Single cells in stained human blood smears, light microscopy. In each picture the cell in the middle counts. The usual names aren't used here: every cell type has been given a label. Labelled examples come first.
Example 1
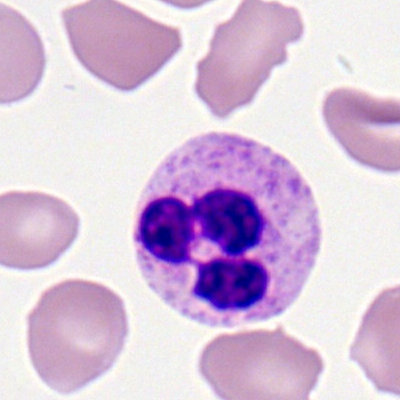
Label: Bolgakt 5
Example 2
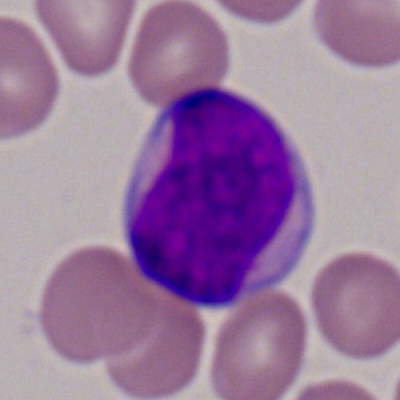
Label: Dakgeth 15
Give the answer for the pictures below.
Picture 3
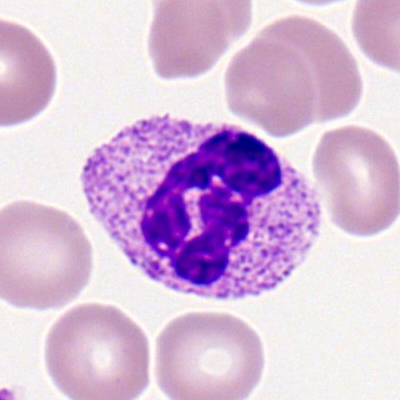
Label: Bolgakt 5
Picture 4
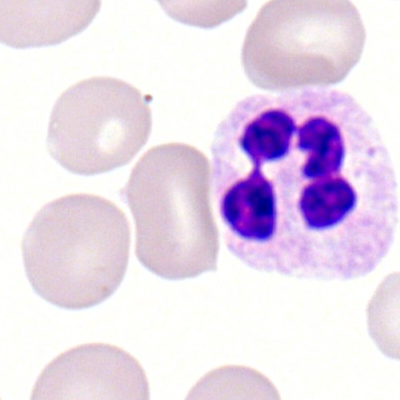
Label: Bolgakt 5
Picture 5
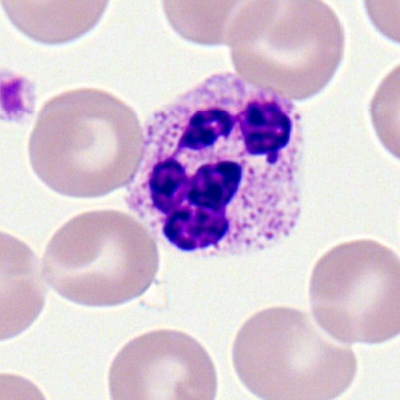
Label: Bolgakt 5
